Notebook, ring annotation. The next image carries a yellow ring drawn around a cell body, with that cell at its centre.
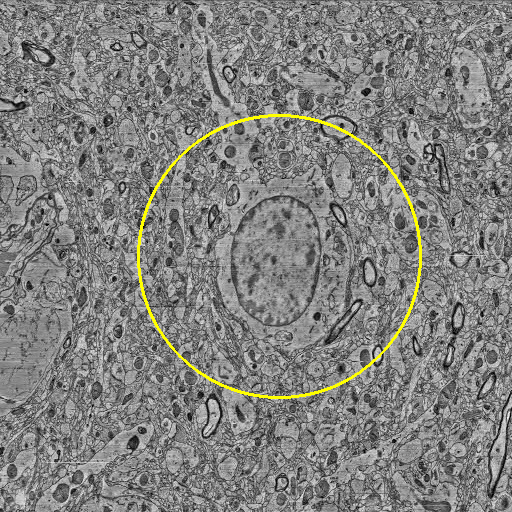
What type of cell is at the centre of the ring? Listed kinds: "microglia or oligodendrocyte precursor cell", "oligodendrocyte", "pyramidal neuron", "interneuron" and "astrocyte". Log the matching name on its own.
astrocyte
